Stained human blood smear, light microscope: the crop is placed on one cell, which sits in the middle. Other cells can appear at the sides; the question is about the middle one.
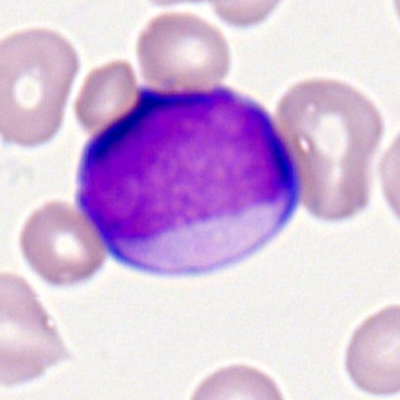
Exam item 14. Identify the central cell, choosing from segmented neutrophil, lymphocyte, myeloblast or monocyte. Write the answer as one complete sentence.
Within this crop, a myeloblast occupies the central position.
